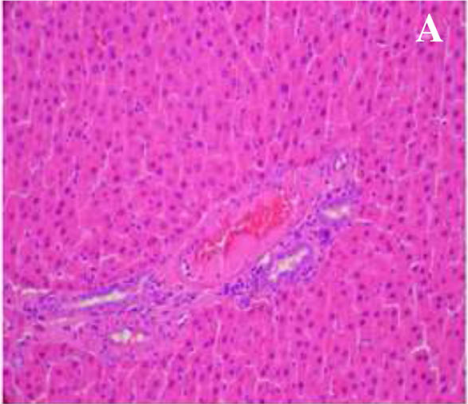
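Liver parenchyma of polygonal hepatocytes arranged in plates separated by narrow sinusoids. The hepatocytes have pink cytoplasm and round, centrally placed purple nuclei. A portal tract runs across the centre, containing a blood vessel filled with red-staining blood and small duct-like profiles. Loose connective tissue with scattered small nuclei surrounds the portal structures. The plates are orderly around the tract.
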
